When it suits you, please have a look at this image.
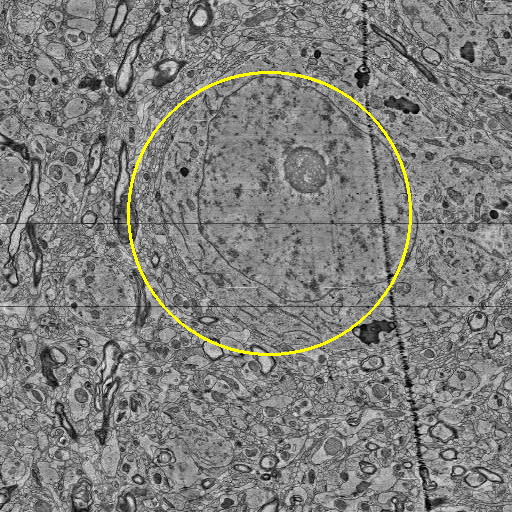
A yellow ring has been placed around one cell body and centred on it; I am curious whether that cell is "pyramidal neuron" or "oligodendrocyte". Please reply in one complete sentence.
The ringed cell, a pyramidal neuron, has its body at the centre of the yellow ring.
